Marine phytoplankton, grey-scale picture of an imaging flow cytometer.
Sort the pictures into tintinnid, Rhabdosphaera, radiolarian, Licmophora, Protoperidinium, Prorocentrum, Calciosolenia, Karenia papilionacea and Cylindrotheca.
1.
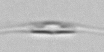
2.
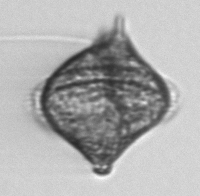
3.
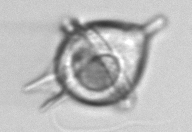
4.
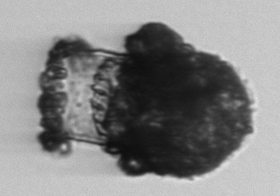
Cylindrotheca: 1
Protoperidinium: 2, 3
Tintinnids: 4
